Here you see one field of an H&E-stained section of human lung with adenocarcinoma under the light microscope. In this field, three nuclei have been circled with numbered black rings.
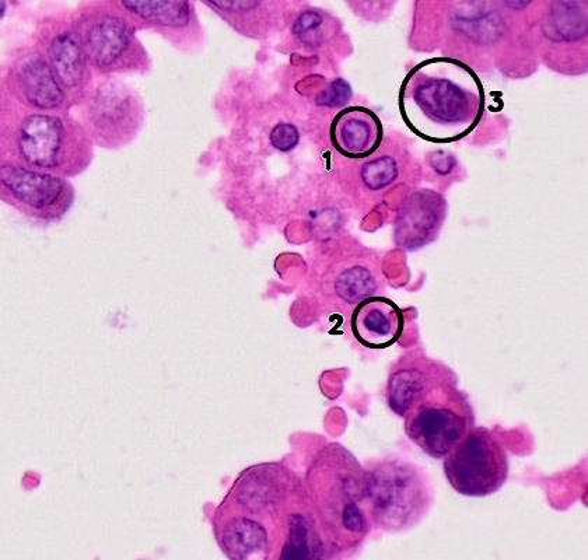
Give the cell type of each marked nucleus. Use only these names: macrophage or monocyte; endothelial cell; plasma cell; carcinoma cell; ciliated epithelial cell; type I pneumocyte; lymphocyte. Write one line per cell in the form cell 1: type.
cell 1: macrophage or monocyte
cell 2: lymphocyte
cell 3: carcinoma cell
